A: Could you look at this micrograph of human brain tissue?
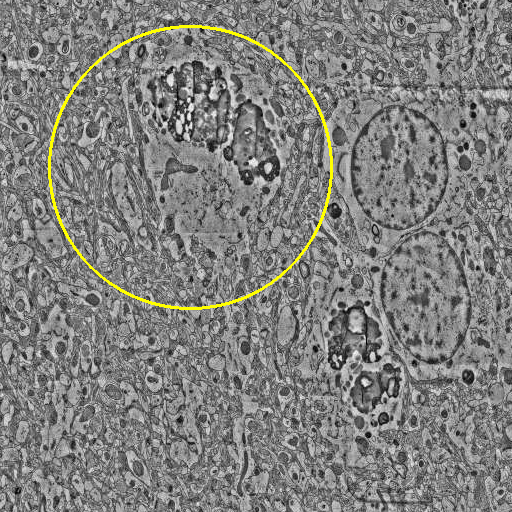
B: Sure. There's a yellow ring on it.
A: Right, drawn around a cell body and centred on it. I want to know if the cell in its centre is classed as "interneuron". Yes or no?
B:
no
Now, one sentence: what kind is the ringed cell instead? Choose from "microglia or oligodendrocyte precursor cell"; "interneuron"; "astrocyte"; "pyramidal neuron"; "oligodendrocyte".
The cell in the ring is an astrocyte instead.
